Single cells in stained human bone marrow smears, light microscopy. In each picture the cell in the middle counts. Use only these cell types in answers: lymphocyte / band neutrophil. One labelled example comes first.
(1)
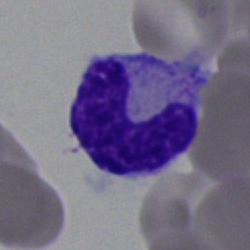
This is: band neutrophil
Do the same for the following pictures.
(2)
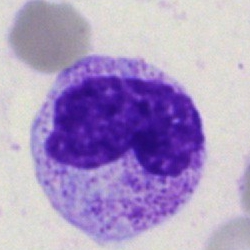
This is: band neutrophil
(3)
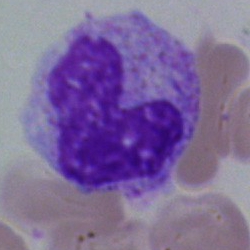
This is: band neutrophil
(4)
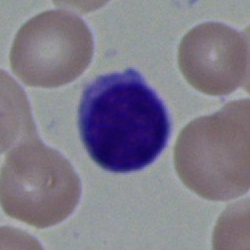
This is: lymphocyte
